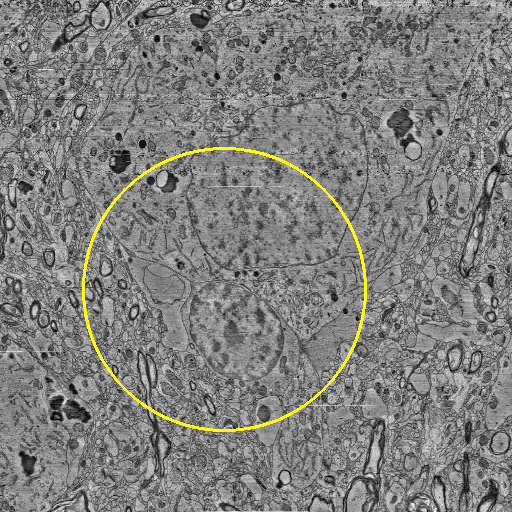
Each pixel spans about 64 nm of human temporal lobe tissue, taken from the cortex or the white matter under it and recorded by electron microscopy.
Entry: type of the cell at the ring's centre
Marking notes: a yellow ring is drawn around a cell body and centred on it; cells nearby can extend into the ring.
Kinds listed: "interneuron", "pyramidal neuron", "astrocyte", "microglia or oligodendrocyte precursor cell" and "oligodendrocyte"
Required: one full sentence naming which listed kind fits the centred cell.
My entry names an oligodendrocyte as the cell whose body the yellow ring centres on.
